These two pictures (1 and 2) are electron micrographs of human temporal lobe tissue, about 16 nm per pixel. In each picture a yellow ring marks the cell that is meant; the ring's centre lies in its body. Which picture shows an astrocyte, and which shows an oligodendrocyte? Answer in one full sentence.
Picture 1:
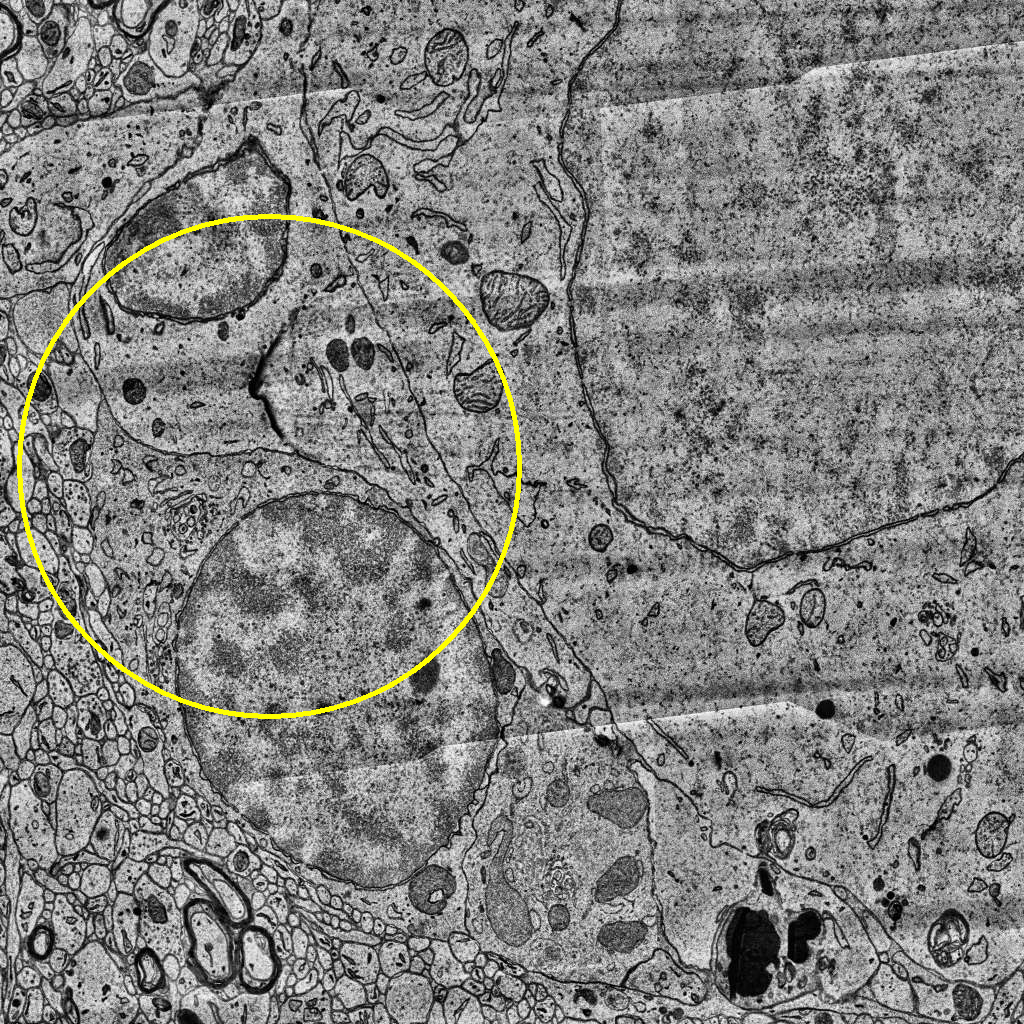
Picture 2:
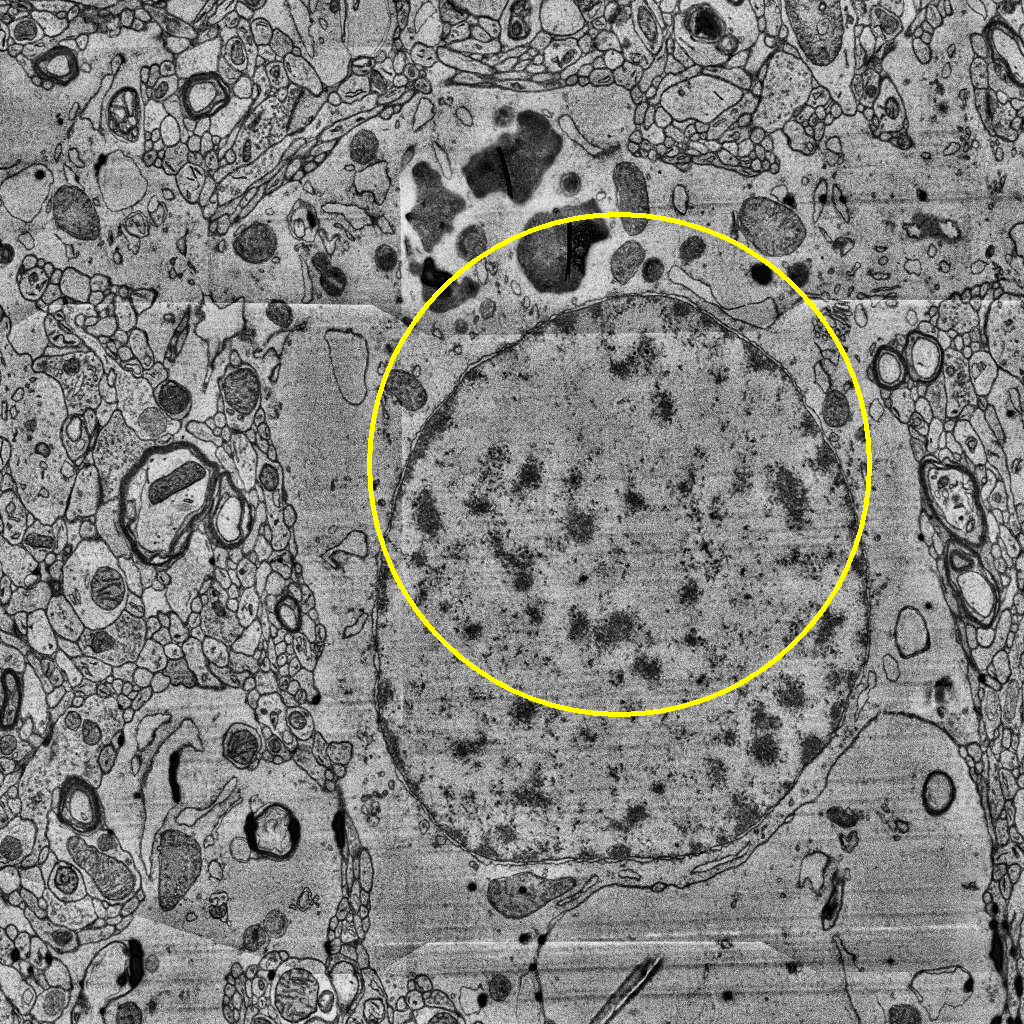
It is picture 1 that shows an oligodendrocyte, and picture 2 that shows an astrocyte.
